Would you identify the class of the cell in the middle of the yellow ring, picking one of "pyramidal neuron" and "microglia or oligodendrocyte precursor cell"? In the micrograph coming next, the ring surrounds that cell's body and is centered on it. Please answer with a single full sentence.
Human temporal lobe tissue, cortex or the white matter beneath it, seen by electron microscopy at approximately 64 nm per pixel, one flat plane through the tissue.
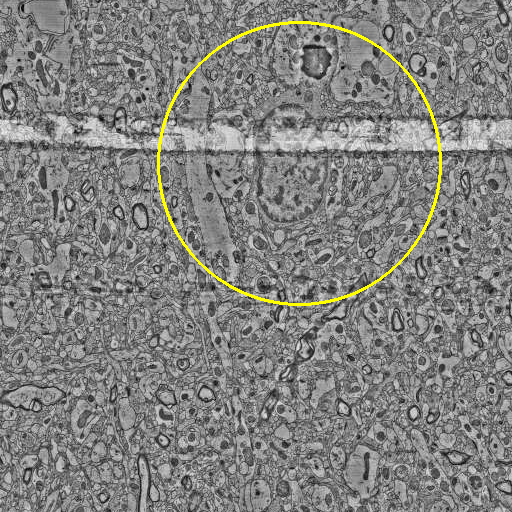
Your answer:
In the micrograph, it is a microglial cell or oligodendrocyte precursor cell whose body lies at the ring's center.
